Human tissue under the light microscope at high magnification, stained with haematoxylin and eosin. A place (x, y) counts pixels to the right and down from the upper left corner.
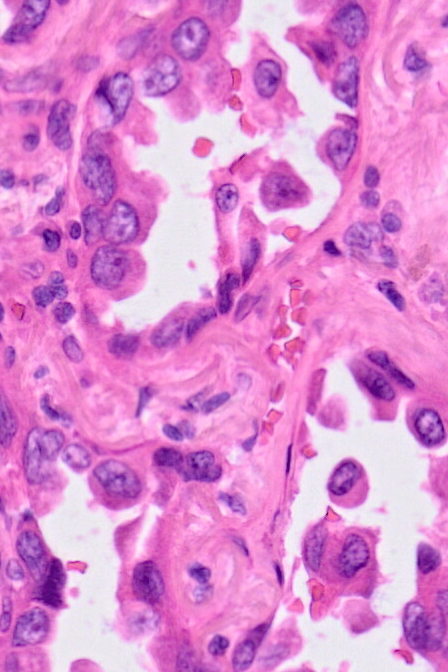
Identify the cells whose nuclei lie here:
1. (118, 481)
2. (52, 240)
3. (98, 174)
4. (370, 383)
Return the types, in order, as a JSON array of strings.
["carcinoma cell", "plasma cell", "carcinoma cell", "carcinoma cell"]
